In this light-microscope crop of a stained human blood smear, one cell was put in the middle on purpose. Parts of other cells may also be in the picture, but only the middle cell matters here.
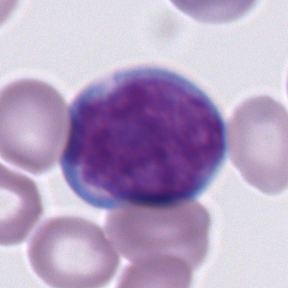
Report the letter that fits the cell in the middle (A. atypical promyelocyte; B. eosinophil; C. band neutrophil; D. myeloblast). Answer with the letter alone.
D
